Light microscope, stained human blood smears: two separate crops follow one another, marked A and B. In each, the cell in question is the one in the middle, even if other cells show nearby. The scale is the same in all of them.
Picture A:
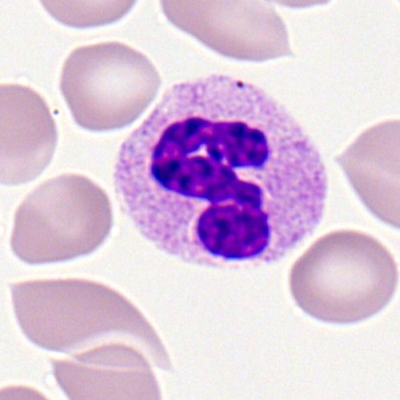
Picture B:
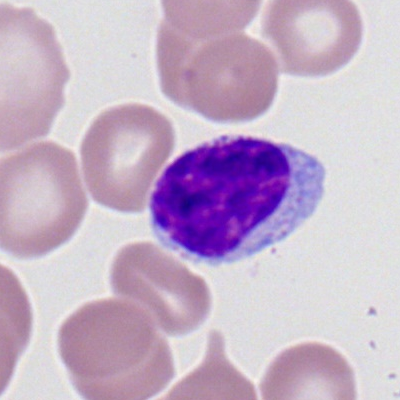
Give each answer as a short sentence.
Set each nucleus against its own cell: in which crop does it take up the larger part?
It is the cell in picture B that is filled more by its nucleus.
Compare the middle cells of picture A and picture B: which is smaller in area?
Smaller is the cell in picture B, and the other is about 1.5 times as large in area.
